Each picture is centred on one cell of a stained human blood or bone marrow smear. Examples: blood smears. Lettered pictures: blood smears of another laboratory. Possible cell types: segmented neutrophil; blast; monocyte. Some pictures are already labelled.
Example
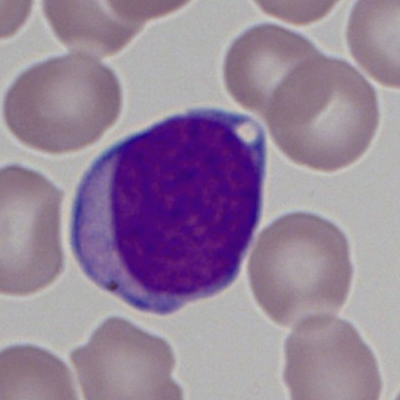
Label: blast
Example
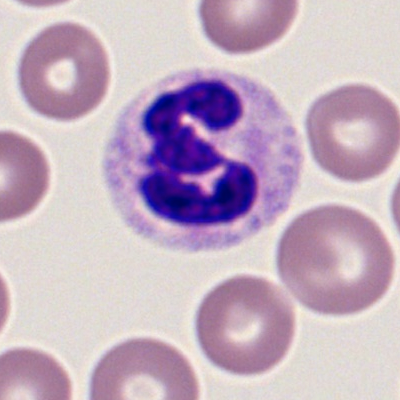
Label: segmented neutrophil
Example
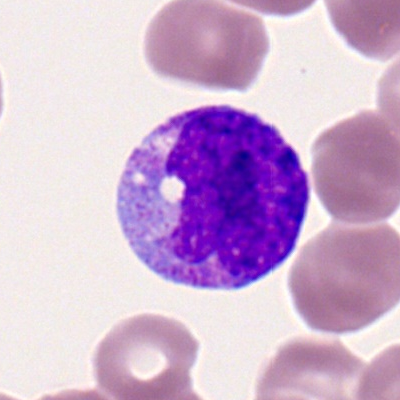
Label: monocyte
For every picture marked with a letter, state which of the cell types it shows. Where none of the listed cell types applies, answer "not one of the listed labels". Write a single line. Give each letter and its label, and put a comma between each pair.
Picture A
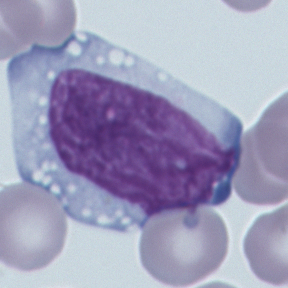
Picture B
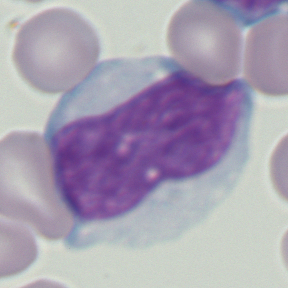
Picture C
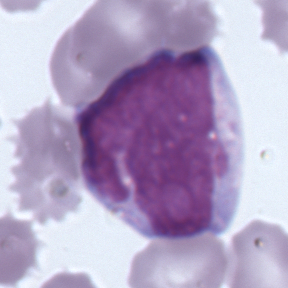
A blast, B blast, C blast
